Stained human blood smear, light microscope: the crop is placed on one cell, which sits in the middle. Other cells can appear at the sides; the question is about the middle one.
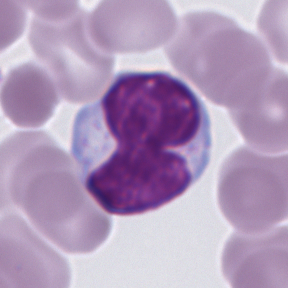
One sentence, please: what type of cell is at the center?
What sits at the centre of this crop is a large granular lymphocyte.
